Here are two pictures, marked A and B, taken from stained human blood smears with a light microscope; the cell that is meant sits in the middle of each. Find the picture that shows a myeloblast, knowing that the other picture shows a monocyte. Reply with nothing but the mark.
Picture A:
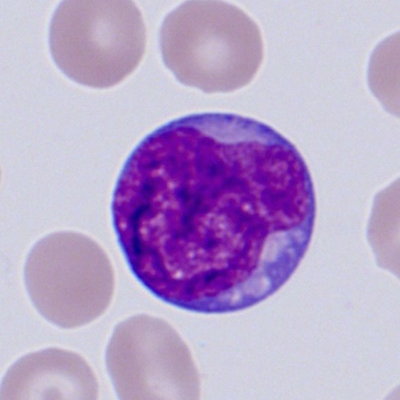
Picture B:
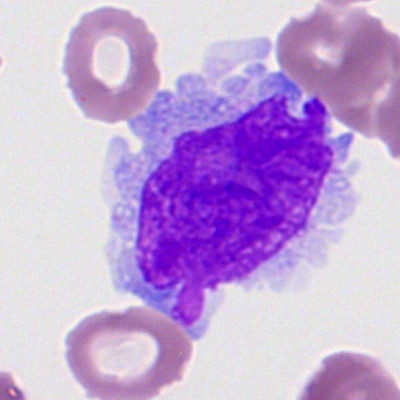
A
